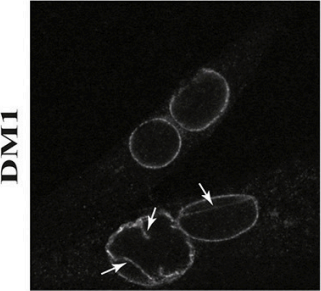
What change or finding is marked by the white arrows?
invaginations of the nuclear envelope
